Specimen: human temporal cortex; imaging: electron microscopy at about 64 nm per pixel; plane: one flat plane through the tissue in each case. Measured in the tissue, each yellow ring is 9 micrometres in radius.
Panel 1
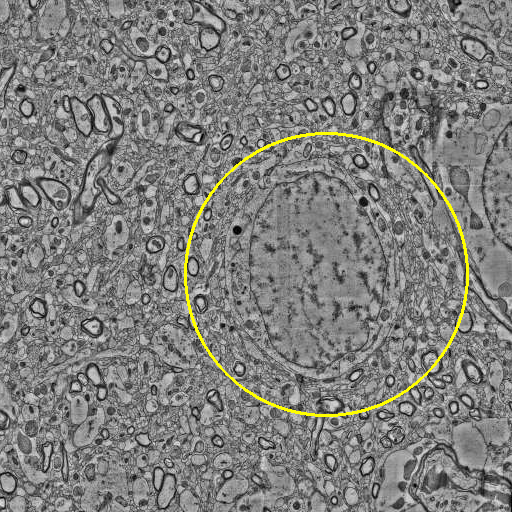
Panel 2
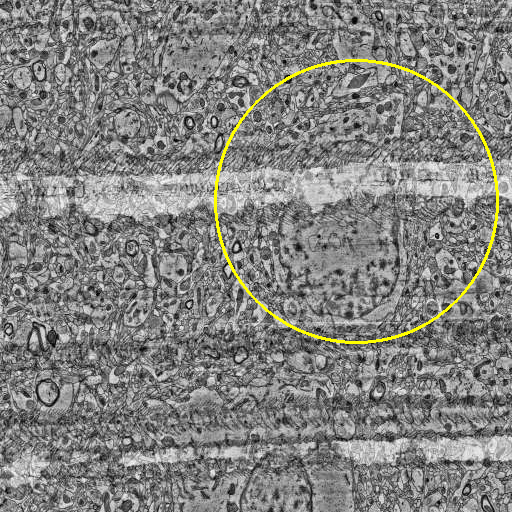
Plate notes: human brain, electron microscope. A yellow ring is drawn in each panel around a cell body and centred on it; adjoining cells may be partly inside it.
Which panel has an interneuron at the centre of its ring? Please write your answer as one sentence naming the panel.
The ring in Panel 2 is centred on such a cell.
